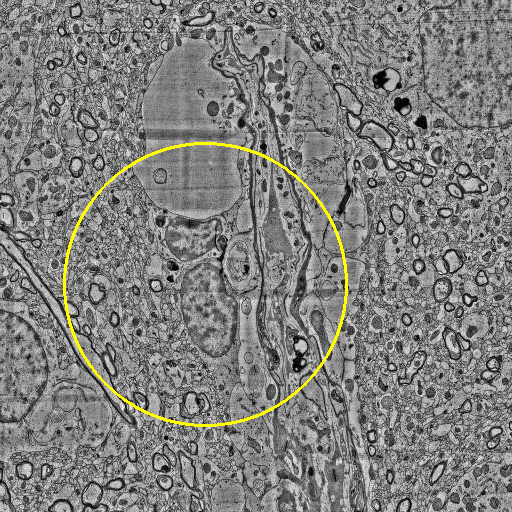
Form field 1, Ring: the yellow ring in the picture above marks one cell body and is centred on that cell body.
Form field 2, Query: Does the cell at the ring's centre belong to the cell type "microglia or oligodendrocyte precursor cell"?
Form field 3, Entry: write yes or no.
no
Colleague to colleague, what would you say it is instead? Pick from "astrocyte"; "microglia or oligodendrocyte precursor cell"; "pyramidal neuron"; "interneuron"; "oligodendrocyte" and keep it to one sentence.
It is an oligodendrocyte that the ring is centred on.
